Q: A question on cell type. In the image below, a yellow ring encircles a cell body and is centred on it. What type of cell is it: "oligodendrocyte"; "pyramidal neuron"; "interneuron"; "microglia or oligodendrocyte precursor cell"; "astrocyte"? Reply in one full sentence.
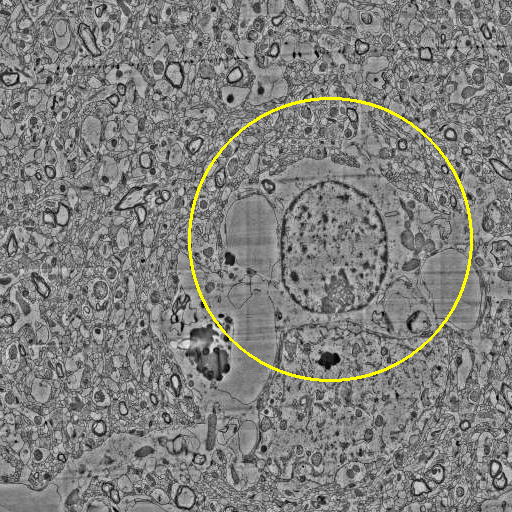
It is an astrocyte whose cell body sits at the centre of the yellow ring in the image.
